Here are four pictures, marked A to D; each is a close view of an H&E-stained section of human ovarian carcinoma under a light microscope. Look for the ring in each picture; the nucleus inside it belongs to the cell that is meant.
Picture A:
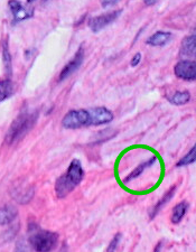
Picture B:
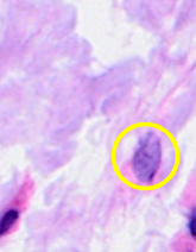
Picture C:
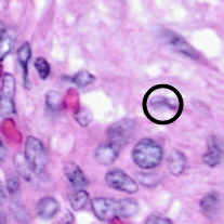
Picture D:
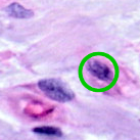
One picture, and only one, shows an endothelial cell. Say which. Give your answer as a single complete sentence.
The cell in picture D is the endothelial cell.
